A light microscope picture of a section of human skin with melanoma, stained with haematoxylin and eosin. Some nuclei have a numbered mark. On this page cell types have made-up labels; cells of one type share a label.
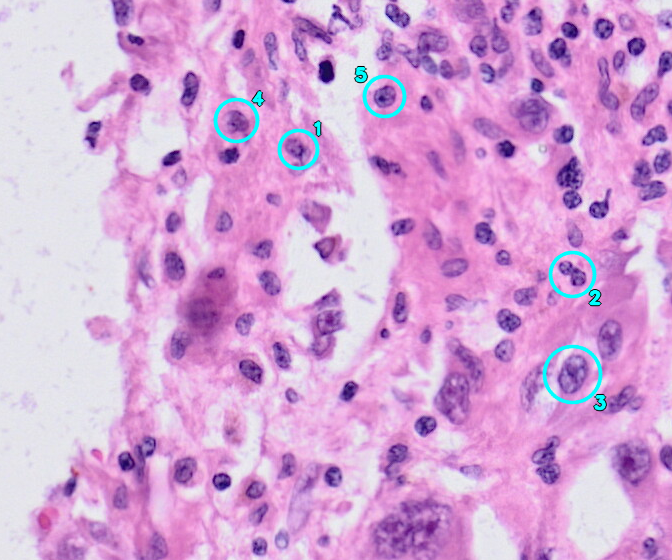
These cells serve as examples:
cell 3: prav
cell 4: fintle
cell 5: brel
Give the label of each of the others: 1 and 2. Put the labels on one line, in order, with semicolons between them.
fintle; brel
